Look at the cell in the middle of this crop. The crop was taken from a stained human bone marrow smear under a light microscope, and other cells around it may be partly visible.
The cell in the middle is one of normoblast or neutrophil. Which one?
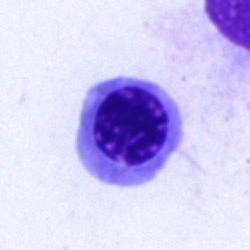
normoblast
